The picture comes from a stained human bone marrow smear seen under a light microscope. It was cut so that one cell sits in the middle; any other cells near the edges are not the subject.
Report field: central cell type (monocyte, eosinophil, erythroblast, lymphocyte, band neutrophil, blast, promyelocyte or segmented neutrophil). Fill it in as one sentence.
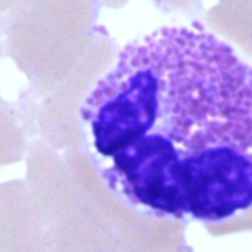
Classification of the middle cell gives an eosinophil.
